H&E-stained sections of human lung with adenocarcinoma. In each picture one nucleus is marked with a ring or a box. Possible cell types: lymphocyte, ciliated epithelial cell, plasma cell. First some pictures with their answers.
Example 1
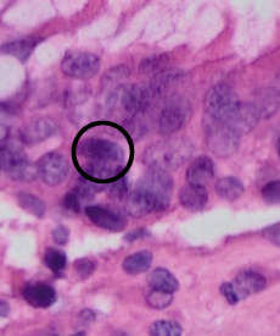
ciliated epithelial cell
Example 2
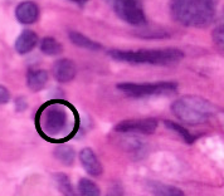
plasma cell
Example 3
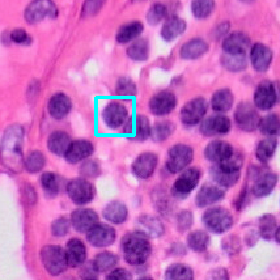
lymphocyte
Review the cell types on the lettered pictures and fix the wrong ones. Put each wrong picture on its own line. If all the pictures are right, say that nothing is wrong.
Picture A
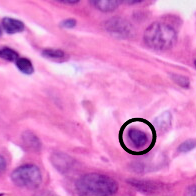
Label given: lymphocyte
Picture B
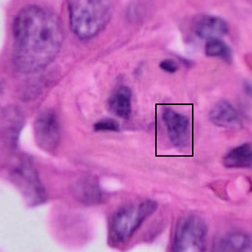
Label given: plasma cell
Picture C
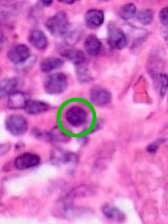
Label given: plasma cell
A should be plasma cell, not lymphocyte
